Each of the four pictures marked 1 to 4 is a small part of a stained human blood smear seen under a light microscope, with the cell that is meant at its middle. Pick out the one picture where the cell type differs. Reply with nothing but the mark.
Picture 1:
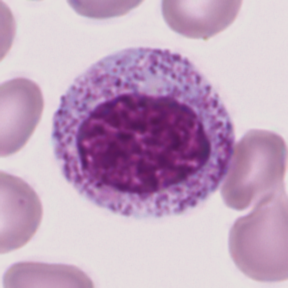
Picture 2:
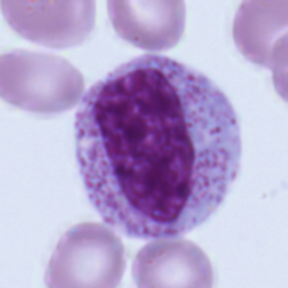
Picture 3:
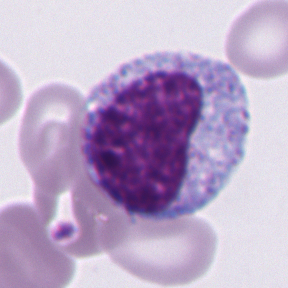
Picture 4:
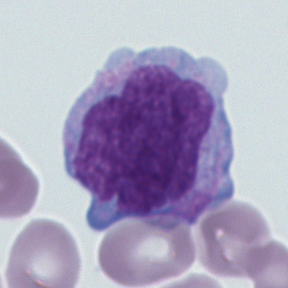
4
